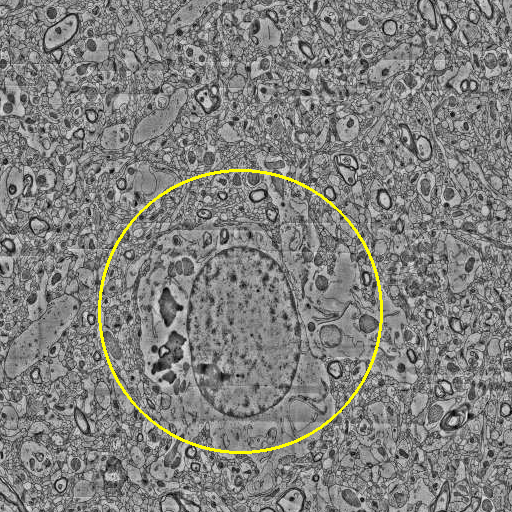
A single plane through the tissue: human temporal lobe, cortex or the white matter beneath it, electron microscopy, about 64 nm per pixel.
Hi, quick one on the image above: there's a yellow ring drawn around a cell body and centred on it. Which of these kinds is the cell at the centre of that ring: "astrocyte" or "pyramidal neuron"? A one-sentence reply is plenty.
The cell at the centre of the ring is an astrocyte.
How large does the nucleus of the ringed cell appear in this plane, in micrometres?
Roughly 11 by 7 micrometers, clearly longer than it is wide in this plane.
